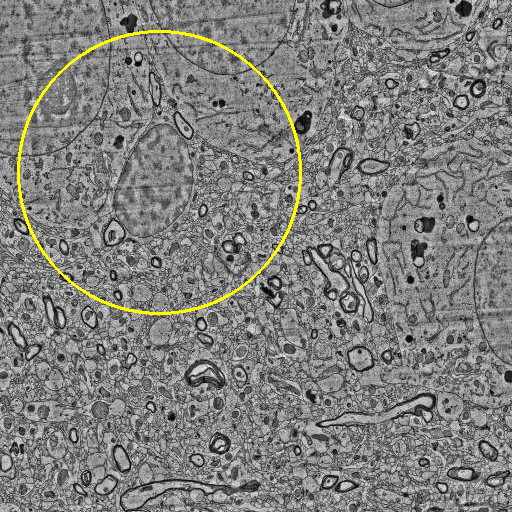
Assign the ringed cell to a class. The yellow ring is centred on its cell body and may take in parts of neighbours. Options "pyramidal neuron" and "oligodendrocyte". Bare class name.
oligodendrocyte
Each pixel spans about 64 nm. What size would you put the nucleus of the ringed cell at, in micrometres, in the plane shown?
In this plane, roughly 7 by 5 micrometres.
